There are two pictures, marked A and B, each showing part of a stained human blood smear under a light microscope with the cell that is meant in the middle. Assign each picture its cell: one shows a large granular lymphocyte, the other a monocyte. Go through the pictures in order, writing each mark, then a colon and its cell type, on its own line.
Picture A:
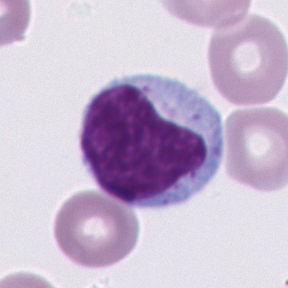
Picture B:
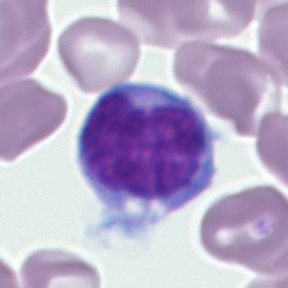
A: large granular lymphocyte
B: monocyte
